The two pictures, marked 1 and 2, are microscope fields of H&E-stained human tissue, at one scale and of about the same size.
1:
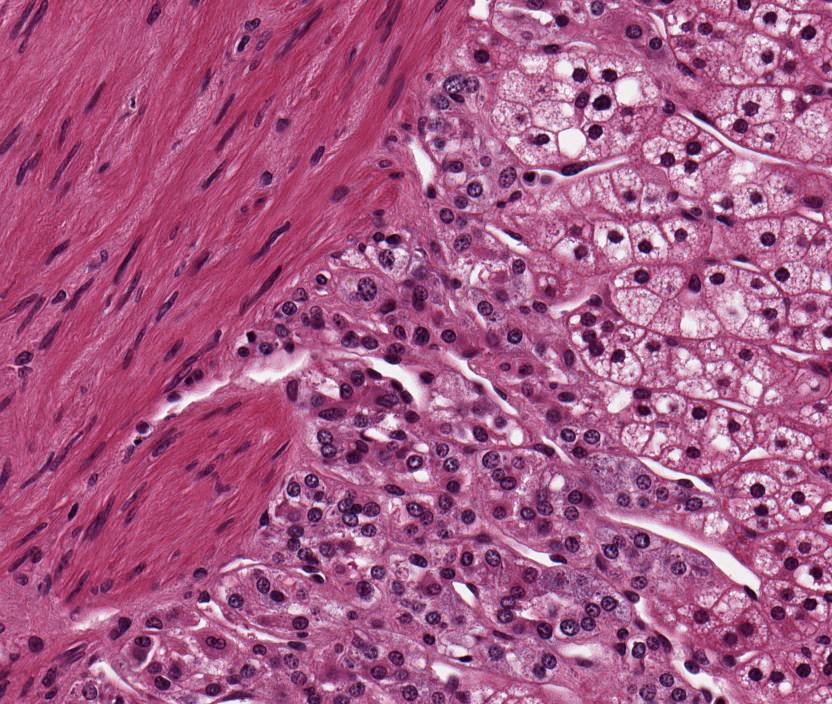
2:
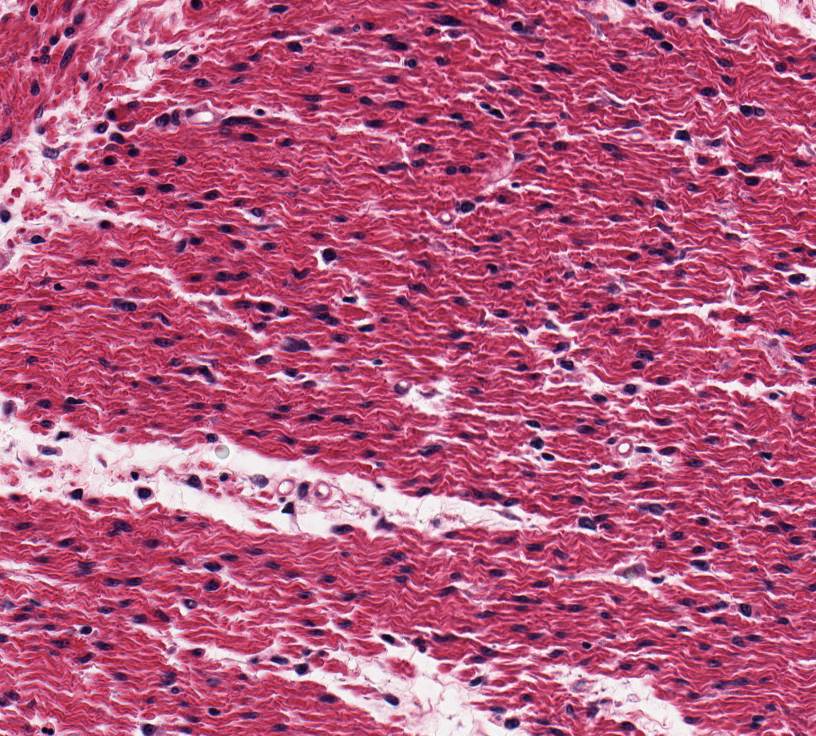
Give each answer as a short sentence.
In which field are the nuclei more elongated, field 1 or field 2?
On the whole the nuclei of field 2 are more drawn out than those of field 1.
